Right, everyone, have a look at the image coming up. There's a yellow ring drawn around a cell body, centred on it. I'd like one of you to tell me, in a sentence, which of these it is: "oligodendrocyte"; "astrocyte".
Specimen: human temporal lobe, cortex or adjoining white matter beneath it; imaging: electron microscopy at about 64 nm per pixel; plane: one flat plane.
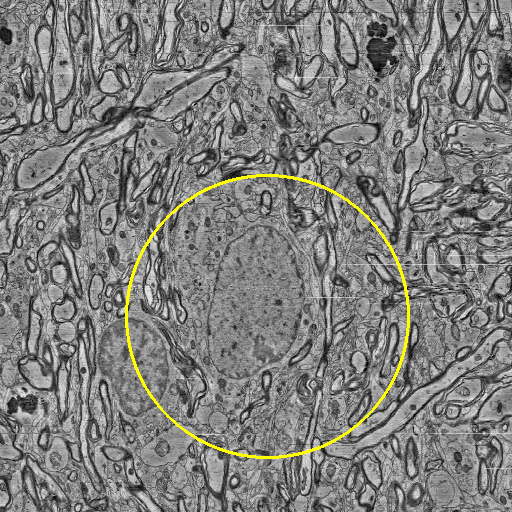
The yellow ring sits on an astrocyte.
